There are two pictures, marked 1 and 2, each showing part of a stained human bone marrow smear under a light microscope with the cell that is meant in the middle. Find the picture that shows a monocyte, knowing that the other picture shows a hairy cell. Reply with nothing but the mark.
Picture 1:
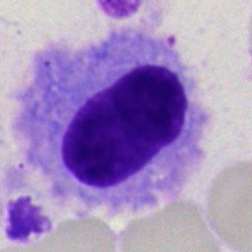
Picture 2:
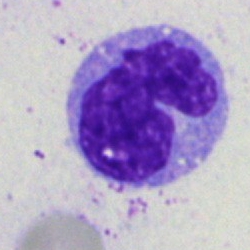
2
